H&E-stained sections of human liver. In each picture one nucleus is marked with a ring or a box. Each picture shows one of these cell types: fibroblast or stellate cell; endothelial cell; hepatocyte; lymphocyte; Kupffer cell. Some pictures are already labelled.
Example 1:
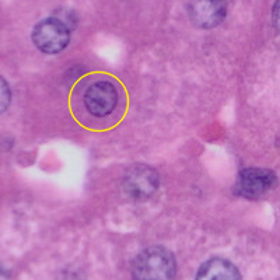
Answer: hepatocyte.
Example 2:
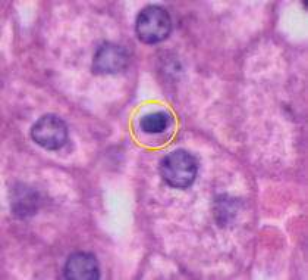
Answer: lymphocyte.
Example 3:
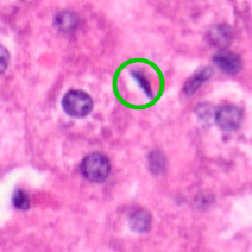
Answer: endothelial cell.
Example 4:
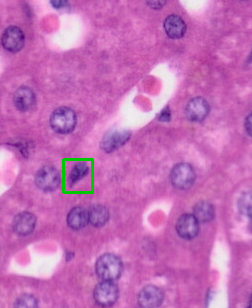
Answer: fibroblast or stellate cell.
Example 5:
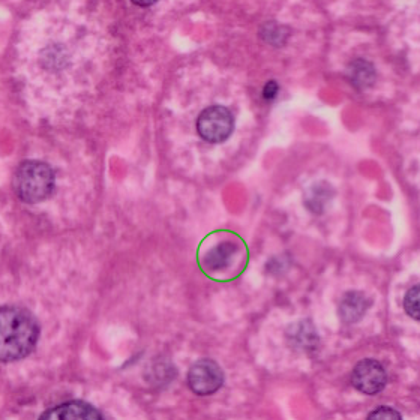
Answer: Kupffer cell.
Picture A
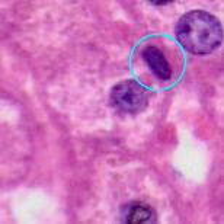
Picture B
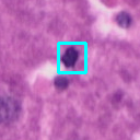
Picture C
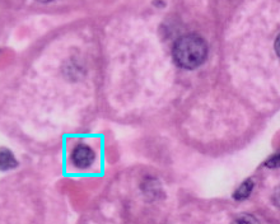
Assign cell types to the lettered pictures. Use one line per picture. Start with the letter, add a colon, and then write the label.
A: fibroblast or stellate cell.
B: fibroblast or stellate cell.
C: lymphocyte.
